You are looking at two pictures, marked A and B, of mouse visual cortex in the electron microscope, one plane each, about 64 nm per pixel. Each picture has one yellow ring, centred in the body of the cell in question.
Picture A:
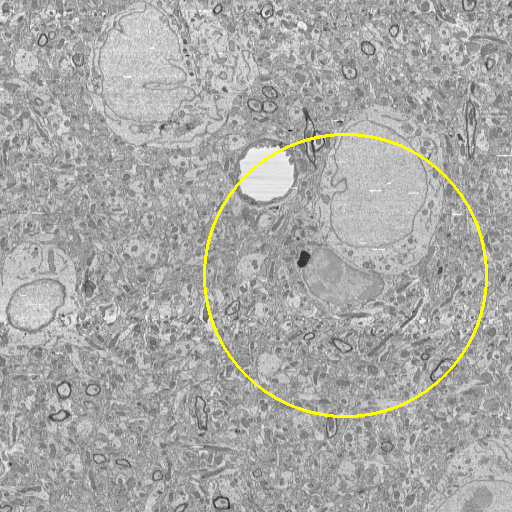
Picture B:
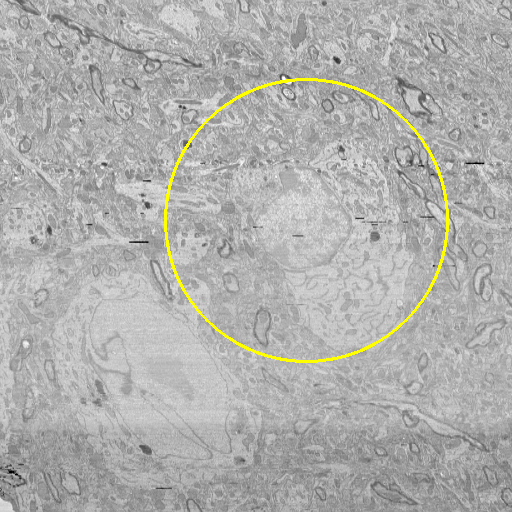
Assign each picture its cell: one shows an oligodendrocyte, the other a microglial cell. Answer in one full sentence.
Picture B shows an oligodendrocyte, while picture A shows a microglial cell.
